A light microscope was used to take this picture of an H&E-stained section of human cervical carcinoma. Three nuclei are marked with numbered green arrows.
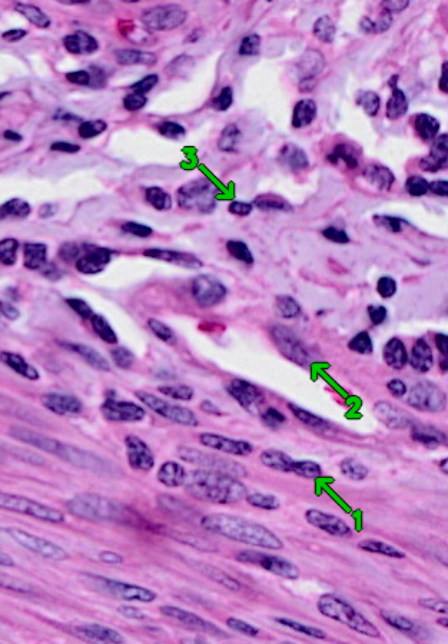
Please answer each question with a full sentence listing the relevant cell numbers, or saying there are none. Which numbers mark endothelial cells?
Only nucleus 2 belongs to an endothelial cell; the other numbered nuclei do not.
